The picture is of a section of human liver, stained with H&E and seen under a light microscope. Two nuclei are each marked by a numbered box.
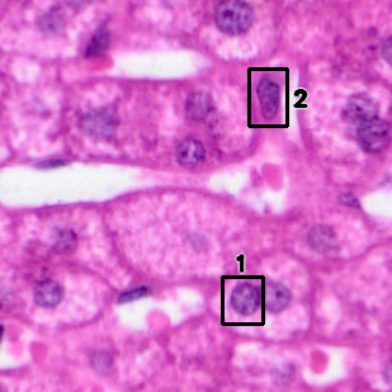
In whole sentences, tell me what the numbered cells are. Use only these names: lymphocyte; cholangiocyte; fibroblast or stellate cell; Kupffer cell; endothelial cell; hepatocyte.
Cell 1 is a hepatocyte and cell 2 is a Kupffer cell.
